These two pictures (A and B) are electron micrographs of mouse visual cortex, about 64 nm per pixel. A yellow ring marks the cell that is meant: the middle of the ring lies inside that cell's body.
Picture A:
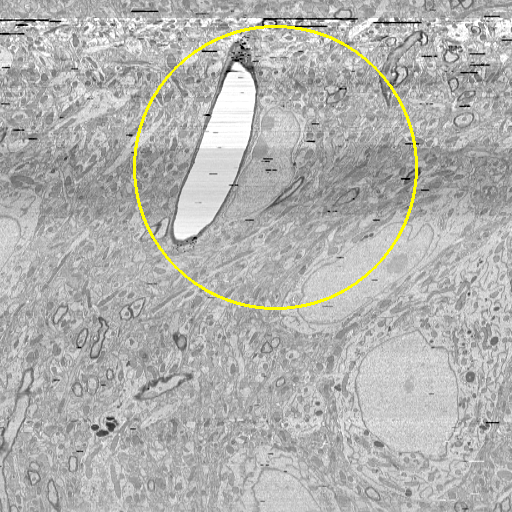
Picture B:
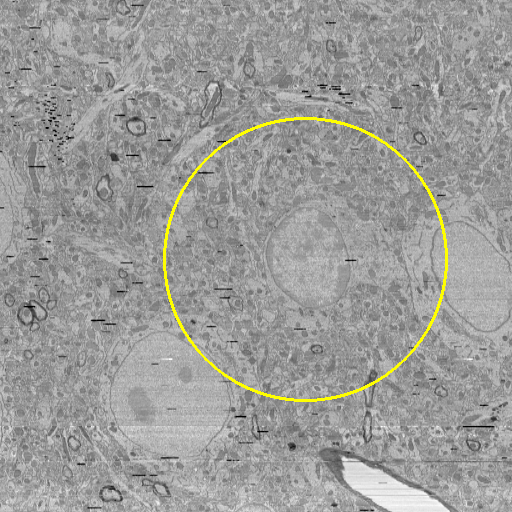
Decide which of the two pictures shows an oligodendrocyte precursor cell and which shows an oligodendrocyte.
The cell in picture A is an oligodendrocyte precursor cell, and the one in picture B is an oligodendrocyte.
